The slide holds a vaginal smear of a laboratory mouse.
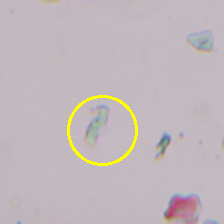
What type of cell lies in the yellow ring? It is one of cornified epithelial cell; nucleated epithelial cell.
The ringed cell is a cornified epithelial cell.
